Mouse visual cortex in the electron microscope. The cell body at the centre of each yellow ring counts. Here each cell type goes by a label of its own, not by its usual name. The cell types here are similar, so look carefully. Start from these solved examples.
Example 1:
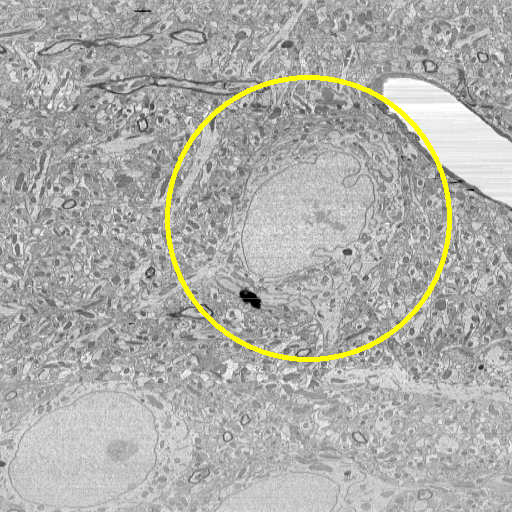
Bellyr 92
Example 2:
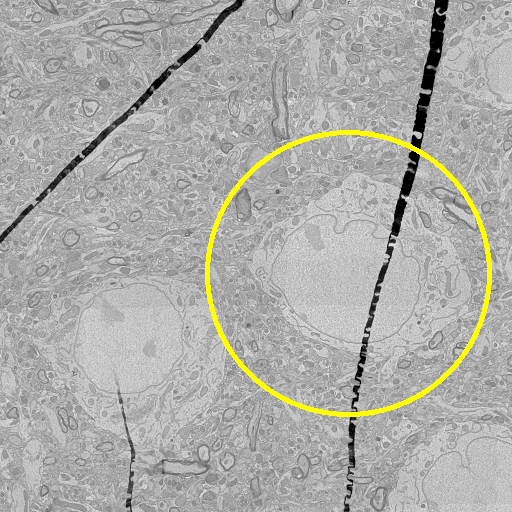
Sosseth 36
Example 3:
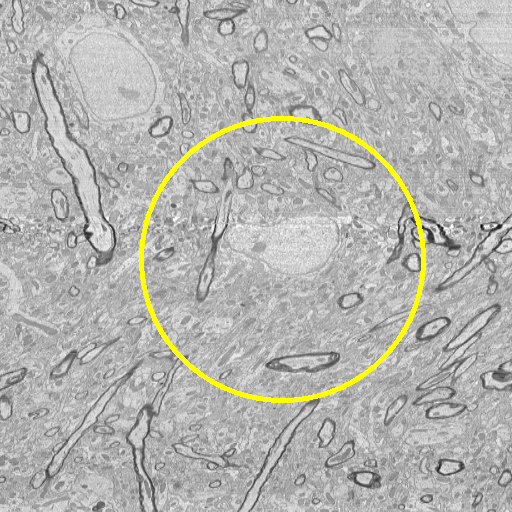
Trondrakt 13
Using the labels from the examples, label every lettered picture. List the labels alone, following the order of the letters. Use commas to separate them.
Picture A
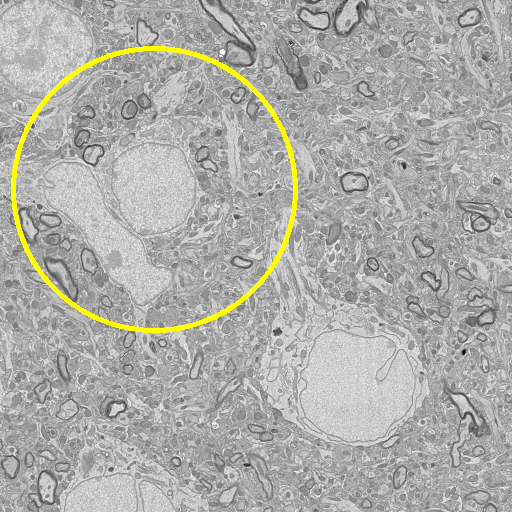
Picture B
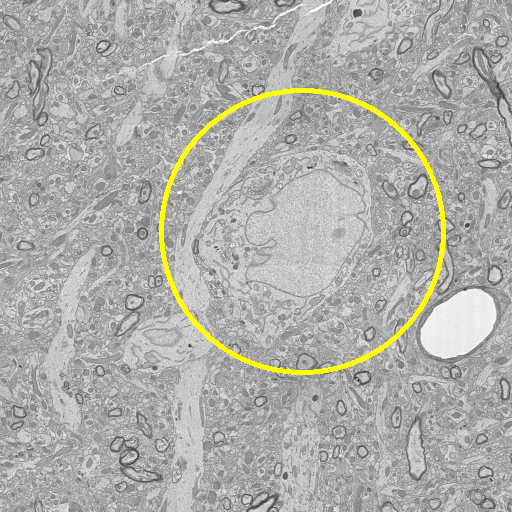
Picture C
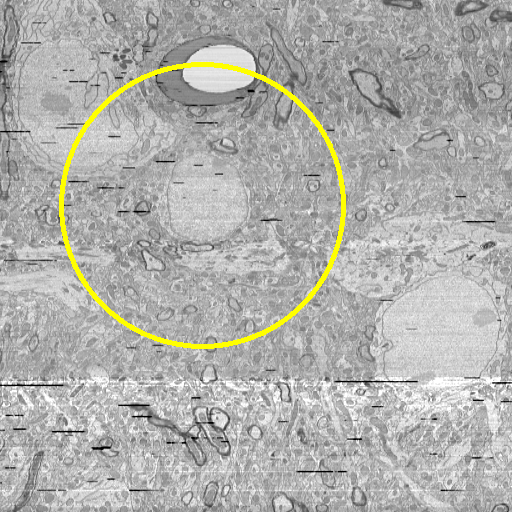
Trondrakt 13, Bellyr 92, Trondrakt 13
